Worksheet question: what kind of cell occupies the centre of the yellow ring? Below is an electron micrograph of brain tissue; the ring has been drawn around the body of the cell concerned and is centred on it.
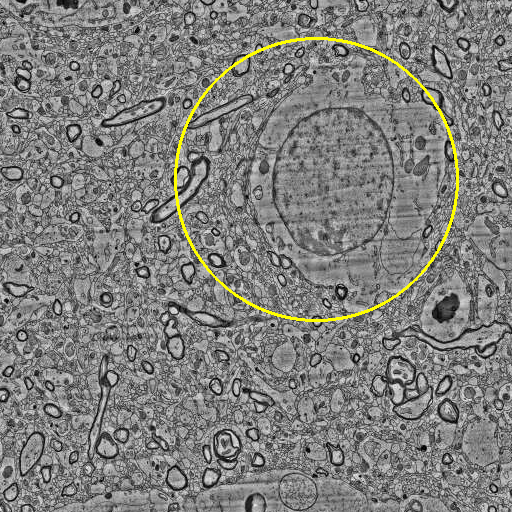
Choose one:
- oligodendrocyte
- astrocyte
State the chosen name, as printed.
astrocyte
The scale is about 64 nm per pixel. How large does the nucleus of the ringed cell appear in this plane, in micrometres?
The nucleus is approximately 9 micrometers long by 8 micrometers wide in this plane.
